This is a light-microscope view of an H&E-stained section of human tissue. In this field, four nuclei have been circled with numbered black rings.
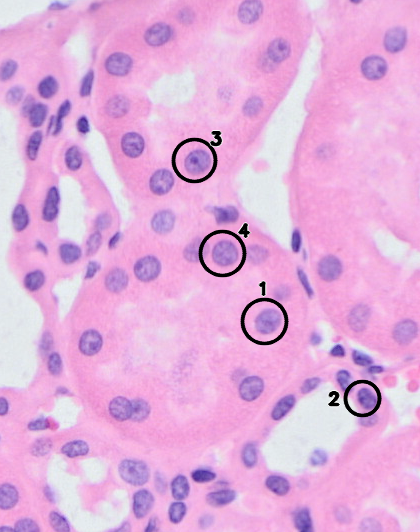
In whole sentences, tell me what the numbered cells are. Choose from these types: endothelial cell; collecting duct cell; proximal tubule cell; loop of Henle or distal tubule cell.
Cells 1, 3 and 4 are proximal tubule cells. Cell 2 is a collecting duct cell.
